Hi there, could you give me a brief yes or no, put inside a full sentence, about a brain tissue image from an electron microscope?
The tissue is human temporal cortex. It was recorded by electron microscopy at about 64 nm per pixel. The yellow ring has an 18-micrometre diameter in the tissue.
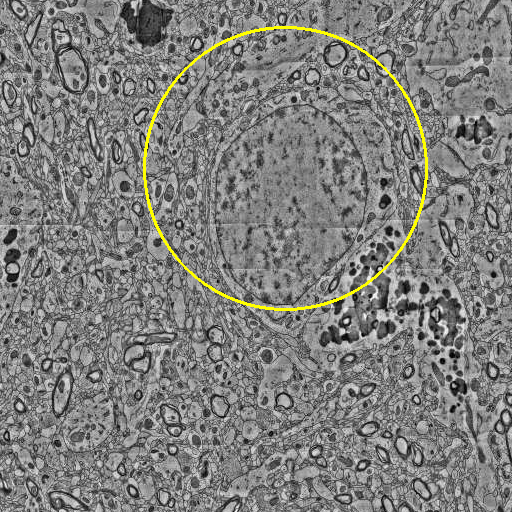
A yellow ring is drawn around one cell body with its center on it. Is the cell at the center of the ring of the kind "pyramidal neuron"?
Yes, the cell found at the center of the yellow ring is of that kind.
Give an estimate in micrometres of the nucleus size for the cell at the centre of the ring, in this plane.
About 13 by 10 micrometers for the nucleus, in this plane.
